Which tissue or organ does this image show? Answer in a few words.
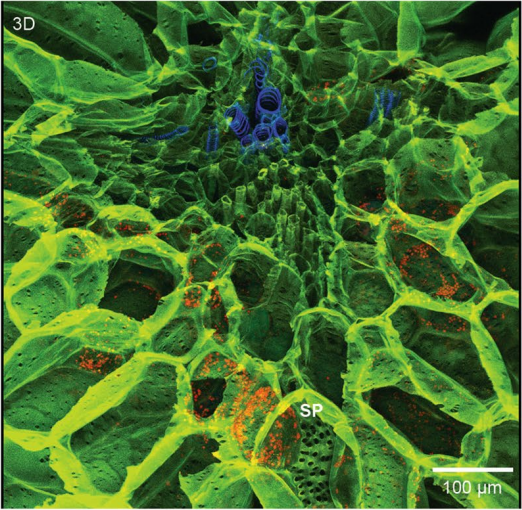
Vascular bundle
